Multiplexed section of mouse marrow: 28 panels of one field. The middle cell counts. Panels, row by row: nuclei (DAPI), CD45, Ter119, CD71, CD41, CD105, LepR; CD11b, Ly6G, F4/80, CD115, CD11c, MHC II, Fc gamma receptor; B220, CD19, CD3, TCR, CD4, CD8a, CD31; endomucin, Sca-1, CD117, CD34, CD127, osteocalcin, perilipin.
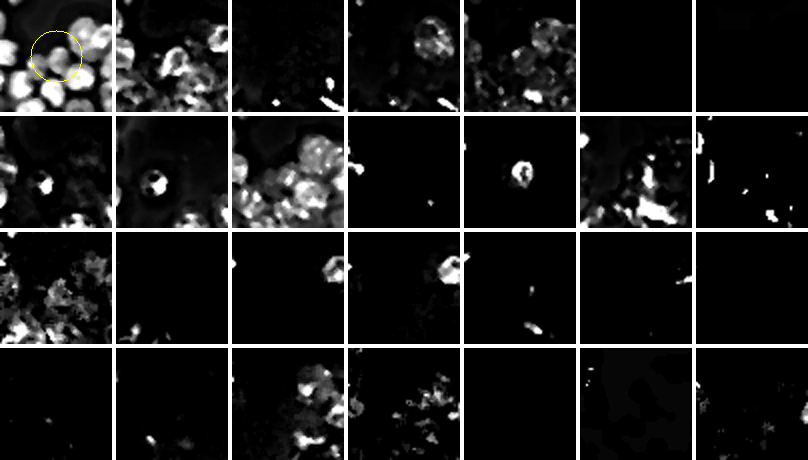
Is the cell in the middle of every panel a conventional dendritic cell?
Yes, it is a conventional dendritic cell.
